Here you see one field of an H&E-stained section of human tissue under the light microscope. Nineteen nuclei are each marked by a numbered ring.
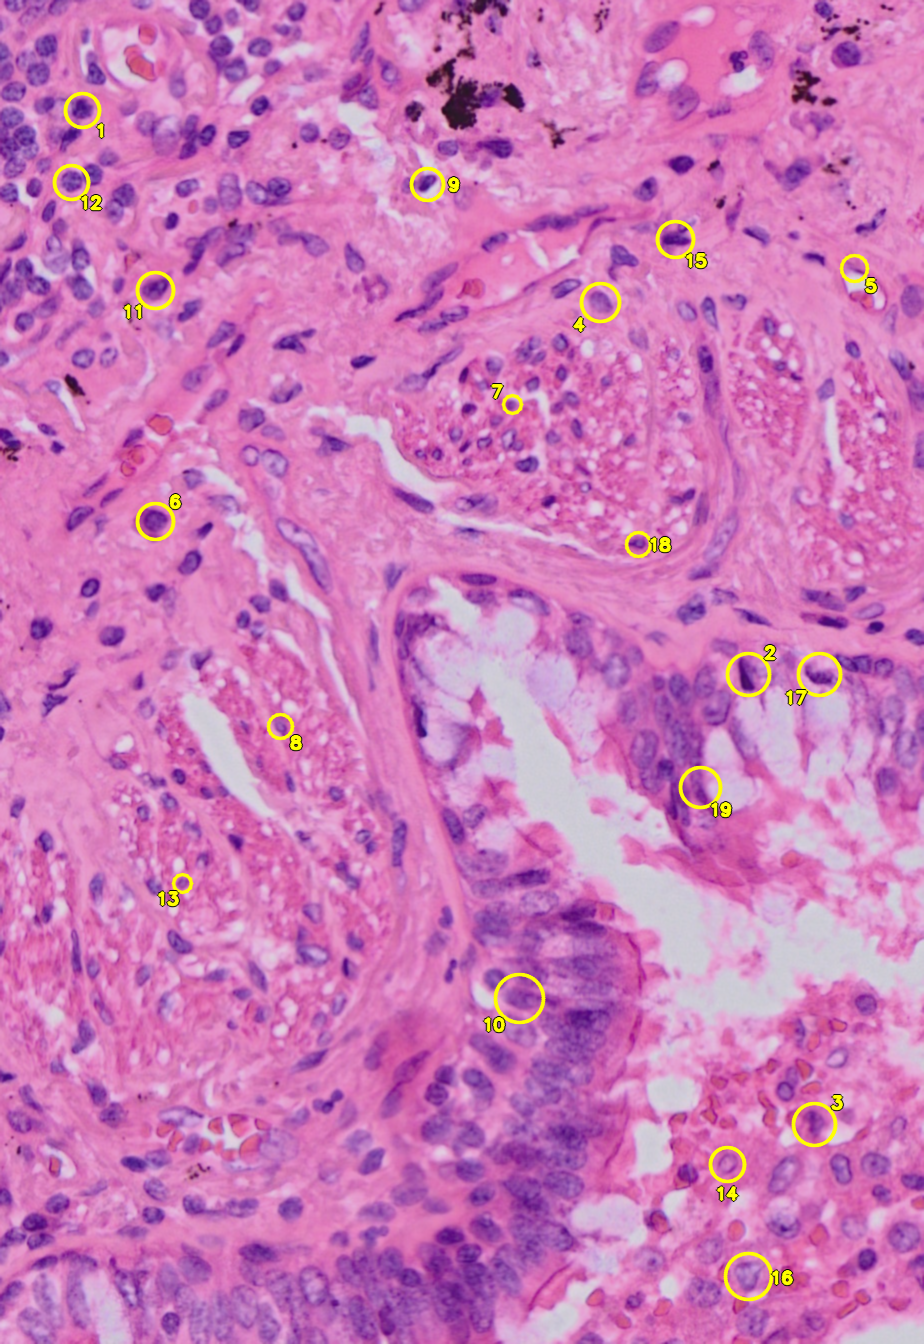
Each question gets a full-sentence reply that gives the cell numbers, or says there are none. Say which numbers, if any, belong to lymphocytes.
The numbers 1, 9 and 12 refer to cells that are lymphocytes.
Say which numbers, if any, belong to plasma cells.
Each of the cells numbered 6, 11 and 15 is among the plasma cells.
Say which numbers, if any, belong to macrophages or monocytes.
In this section, the cells numbered 3, 14 and 16 are macrophages or monocytes.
